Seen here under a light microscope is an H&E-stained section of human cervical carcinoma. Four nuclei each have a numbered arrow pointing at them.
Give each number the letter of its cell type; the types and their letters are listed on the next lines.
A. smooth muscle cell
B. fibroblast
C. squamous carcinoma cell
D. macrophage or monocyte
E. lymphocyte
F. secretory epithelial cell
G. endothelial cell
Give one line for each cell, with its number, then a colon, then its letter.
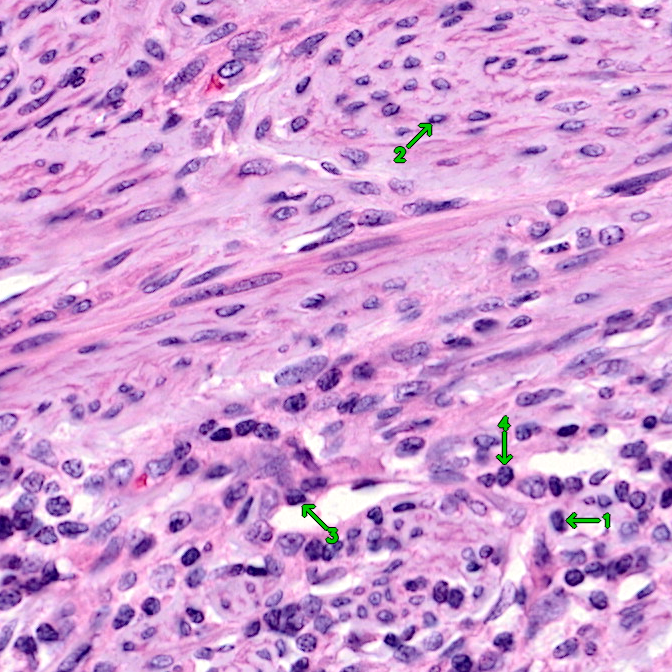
1: E
2: A
3: E
4: E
